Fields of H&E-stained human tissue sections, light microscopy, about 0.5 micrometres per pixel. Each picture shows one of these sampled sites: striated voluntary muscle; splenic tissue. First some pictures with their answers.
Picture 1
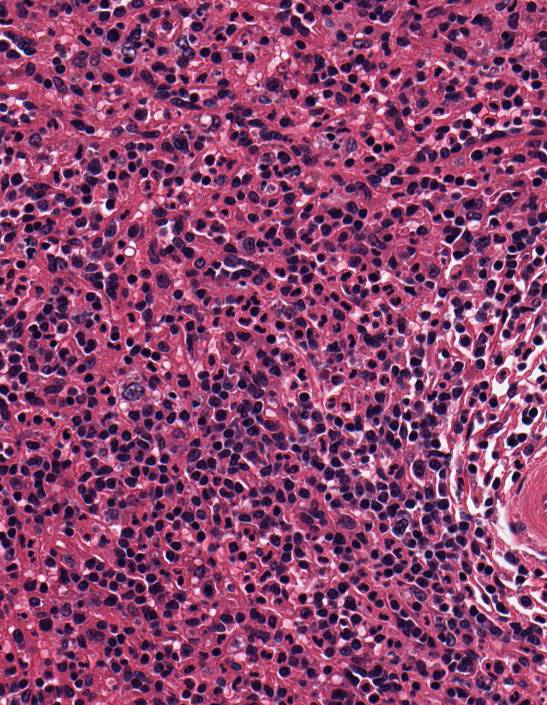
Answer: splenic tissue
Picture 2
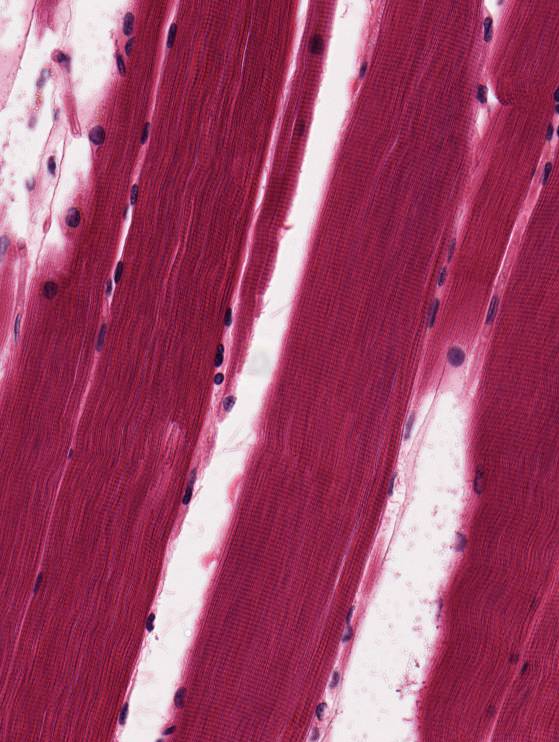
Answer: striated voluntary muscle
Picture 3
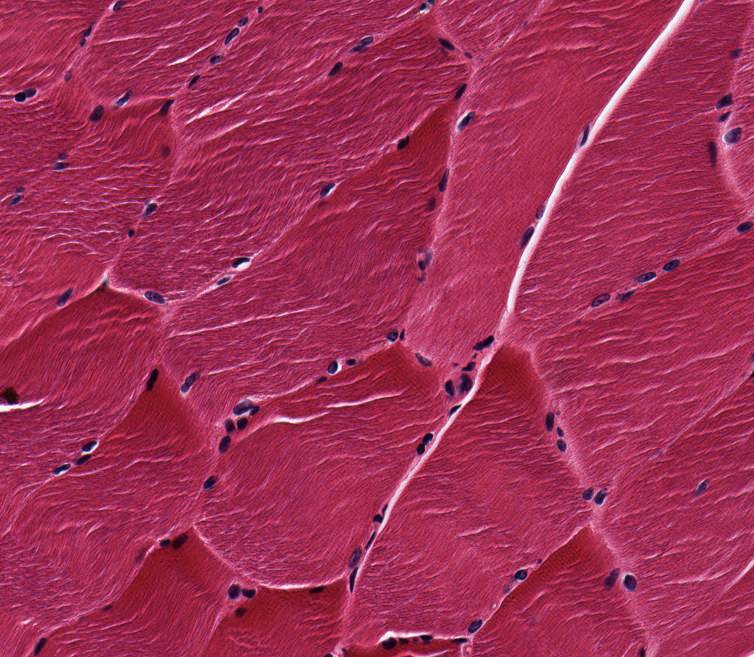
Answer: striated voluntary muscle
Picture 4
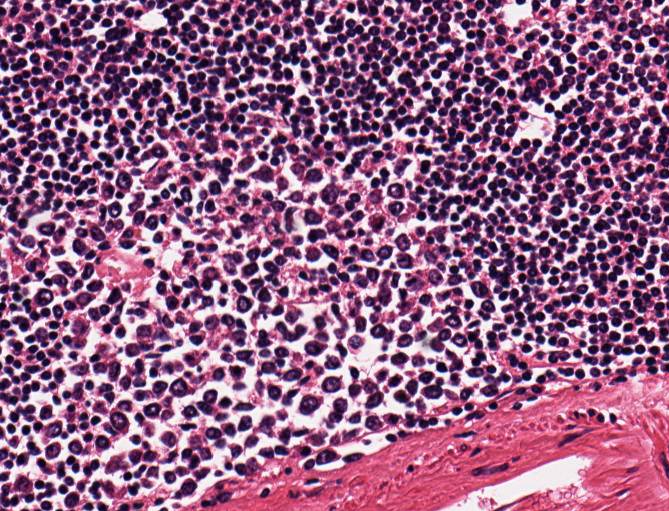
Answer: splenic tissue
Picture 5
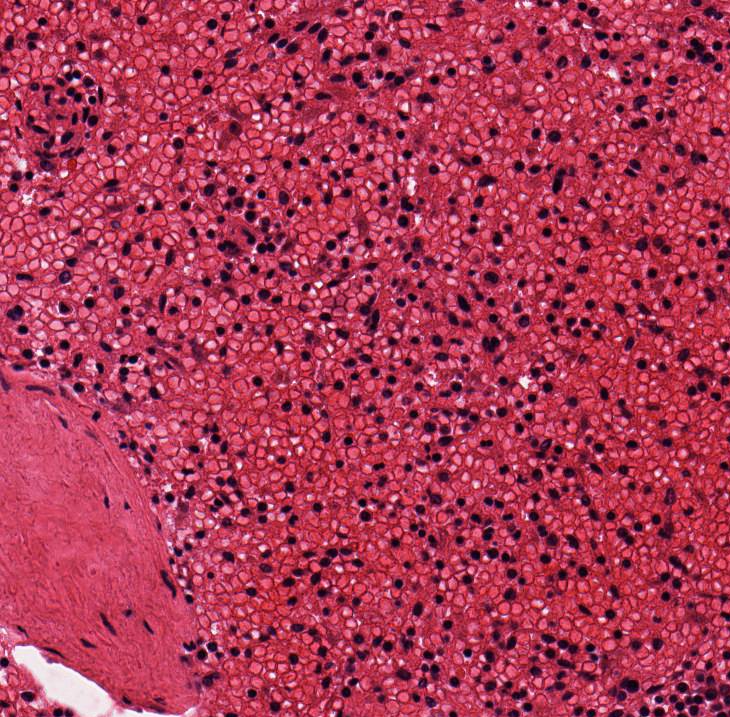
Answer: splenic tissue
